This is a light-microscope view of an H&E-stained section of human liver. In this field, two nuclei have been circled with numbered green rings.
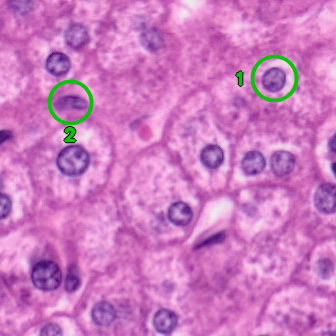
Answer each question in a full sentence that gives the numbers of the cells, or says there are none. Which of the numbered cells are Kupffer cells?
Of the cells bearing numbers, the only one that is a Kupffer cell is cell 2.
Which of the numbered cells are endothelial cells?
Across all the numbered cells, endothelial cells are absent.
